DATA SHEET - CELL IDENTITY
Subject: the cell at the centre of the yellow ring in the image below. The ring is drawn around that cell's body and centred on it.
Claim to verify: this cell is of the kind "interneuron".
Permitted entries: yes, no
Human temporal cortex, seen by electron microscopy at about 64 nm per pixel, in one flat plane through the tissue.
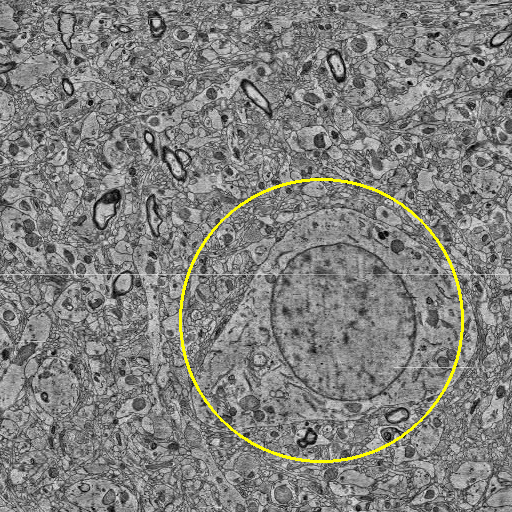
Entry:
no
